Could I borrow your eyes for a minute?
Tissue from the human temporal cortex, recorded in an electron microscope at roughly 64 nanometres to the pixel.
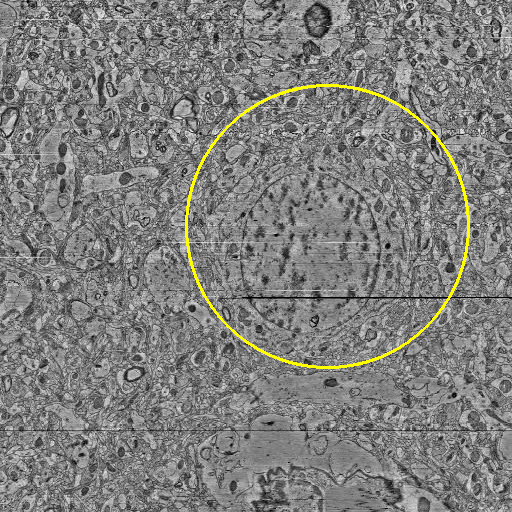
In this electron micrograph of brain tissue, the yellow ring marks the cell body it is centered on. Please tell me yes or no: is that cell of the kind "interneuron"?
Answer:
no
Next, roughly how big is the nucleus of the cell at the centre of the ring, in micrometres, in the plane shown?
In this plane the nucleus measures roughly 11 by 9 micrometres.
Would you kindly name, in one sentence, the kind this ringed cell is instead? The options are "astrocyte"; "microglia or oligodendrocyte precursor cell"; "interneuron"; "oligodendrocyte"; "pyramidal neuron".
The cell enclosed by the ring is a pyramidal neuron.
